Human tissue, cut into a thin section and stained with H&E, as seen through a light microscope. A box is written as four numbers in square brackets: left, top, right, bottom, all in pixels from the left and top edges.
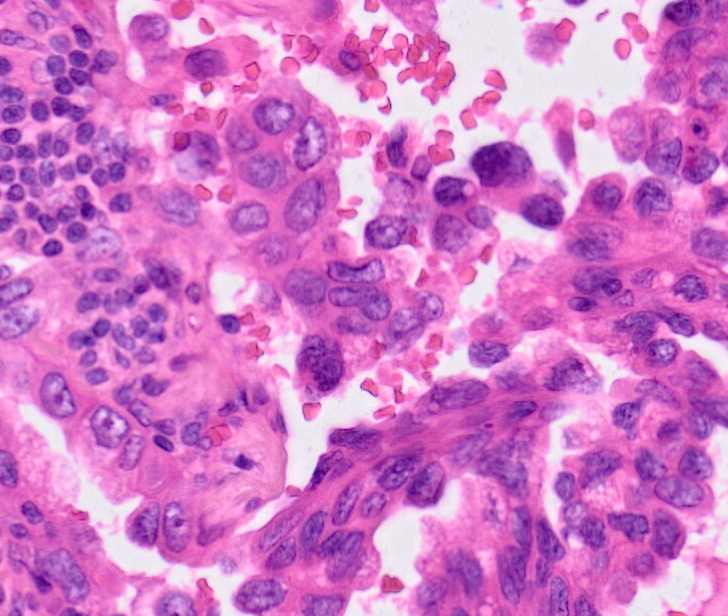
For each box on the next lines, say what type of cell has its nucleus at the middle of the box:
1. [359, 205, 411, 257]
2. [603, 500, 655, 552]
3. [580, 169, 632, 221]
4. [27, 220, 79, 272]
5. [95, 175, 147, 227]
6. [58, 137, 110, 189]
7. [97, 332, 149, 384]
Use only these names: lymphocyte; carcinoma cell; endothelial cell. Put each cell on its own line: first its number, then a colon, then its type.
1: carcinoma cell
2: carcinoma cell
3: carcinoma cell
4: lymphocyte
5: lymphocyte
6: lymphocyte
7: lymphocyte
